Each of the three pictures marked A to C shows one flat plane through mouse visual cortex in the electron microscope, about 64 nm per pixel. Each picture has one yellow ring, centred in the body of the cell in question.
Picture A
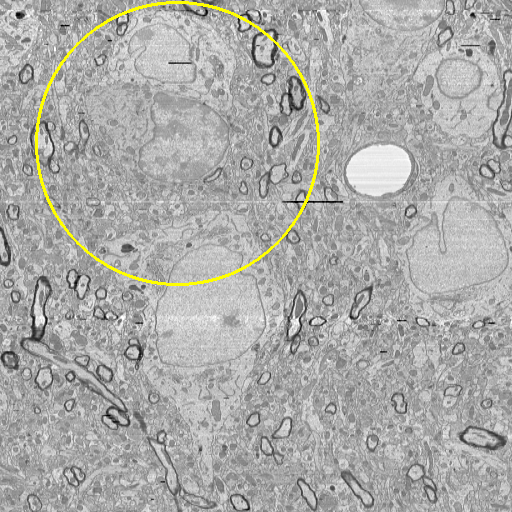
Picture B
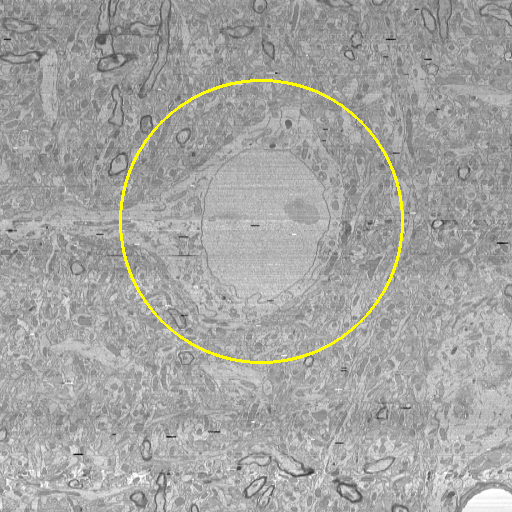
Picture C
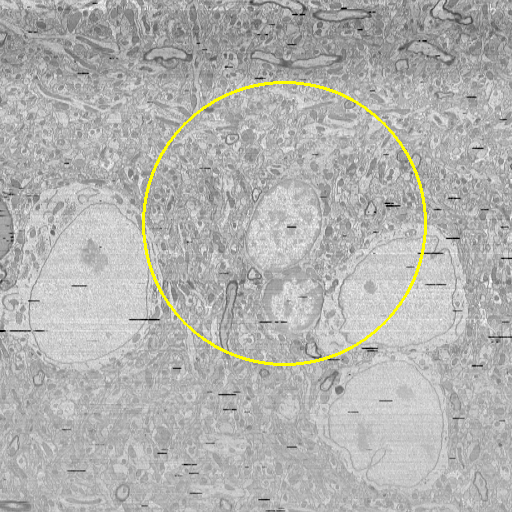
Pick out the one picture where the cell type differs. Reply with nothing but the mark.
B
